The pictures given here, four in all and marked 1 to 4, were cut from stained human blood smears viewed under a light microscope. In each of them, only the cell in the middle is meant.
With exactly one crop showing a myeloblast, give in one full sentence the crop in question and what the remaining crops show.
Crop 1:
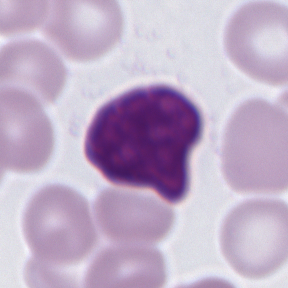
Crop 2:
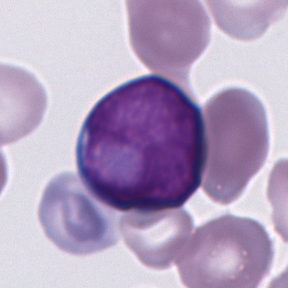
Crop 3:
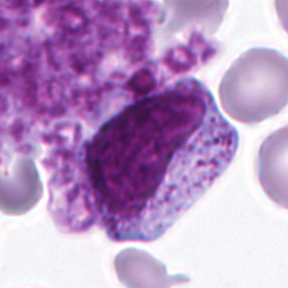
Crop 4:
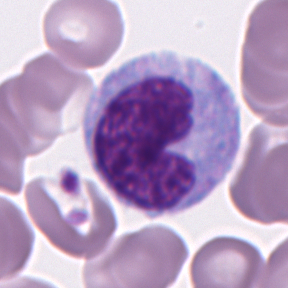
In crop 2, the cell at the centre is a myeloblast, while crop 1 is a smudge cell, crop 3 is a metamyelocyte and crop 4 is a monocyte.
